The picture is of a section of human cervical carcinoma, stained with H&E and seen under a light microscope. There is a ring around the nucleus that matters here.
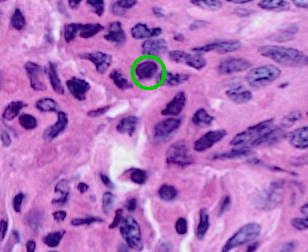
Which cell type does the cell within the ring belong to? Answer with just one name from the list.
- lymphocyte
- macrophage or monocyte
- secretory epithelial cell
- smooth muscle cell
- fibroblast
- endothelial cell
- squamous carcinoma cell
squamous carcinoma cell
